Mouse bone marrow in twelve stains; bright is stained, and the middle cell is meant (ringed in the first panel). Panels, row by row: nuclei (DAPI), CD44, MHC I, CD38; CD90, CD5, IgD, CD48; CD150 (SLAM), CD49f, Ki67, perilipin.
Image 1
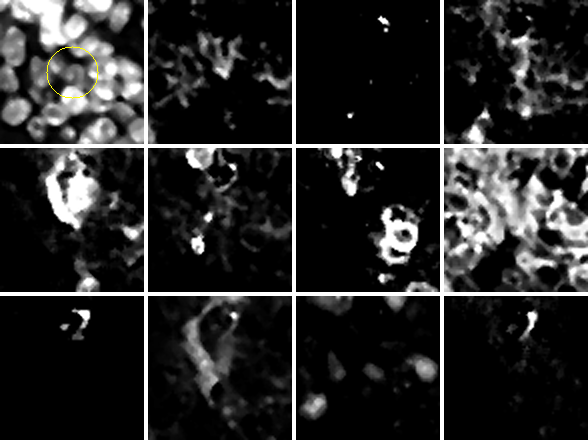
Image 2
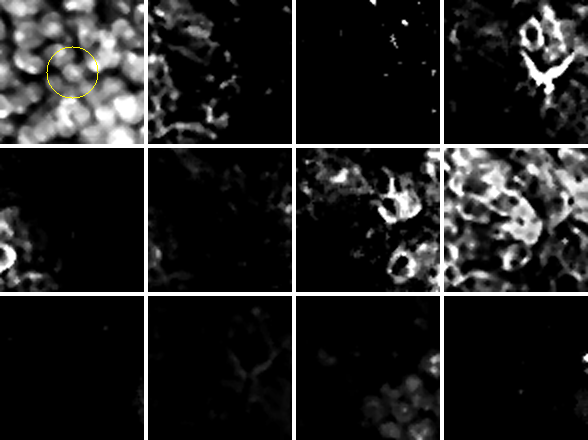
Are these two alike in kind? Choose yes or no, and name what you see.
Yes. Monocytes.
